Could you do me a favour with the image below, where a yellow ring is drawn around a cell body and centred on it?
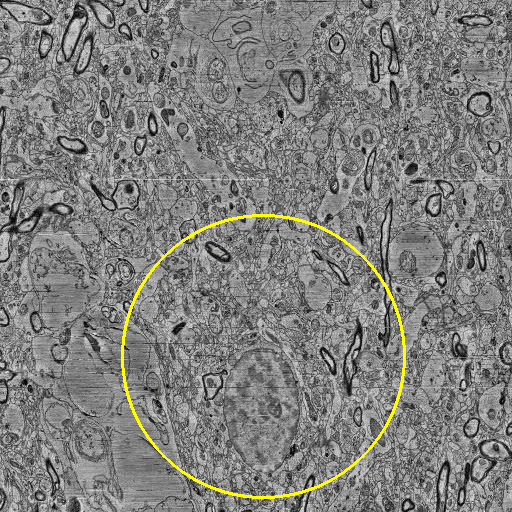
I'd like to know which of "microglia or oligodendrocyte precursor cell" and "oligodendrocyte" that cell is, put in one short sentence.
The cell at the ring's centre is an oligodendrocyte.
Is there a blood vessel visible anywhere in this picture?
Yes, a blood vessel shows in the picture.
